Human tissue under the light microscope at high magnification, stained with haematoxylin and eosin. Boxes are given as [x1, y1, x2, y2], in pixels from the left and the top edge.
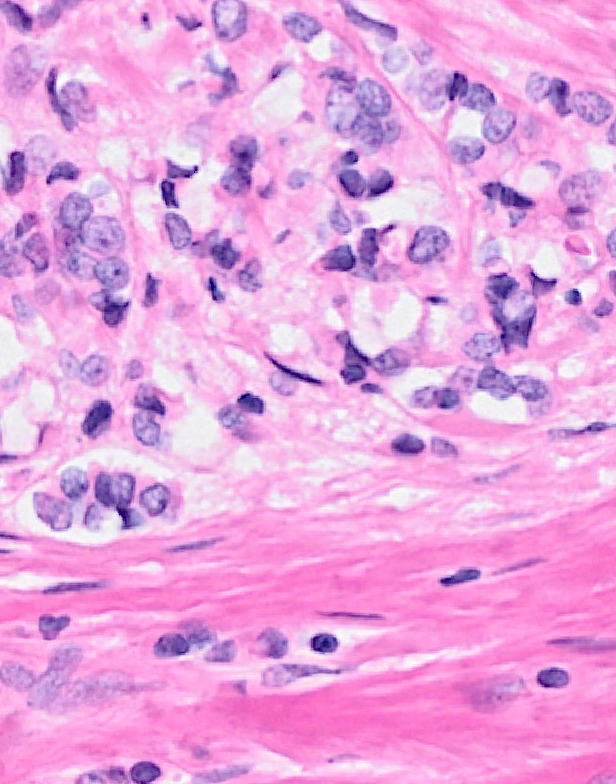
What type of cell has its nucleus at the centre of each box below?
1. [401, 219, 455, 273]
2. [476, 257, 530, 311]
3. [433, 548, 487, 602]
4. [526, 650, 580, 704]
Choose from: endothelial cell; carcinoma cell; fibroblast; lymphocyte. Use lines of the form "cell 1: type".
cell 1: carcinoma cell
cell 2: carcinoma cell
cell 3: lymphocyte
cell 4: lymphocyte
